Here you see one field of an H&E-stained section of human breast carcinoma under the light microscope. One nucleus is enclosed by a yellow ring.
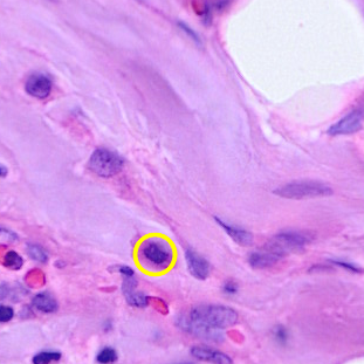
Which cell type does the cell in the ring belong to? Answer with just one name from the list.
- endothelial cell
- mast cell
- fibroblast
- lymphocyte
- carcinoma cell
mast cell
